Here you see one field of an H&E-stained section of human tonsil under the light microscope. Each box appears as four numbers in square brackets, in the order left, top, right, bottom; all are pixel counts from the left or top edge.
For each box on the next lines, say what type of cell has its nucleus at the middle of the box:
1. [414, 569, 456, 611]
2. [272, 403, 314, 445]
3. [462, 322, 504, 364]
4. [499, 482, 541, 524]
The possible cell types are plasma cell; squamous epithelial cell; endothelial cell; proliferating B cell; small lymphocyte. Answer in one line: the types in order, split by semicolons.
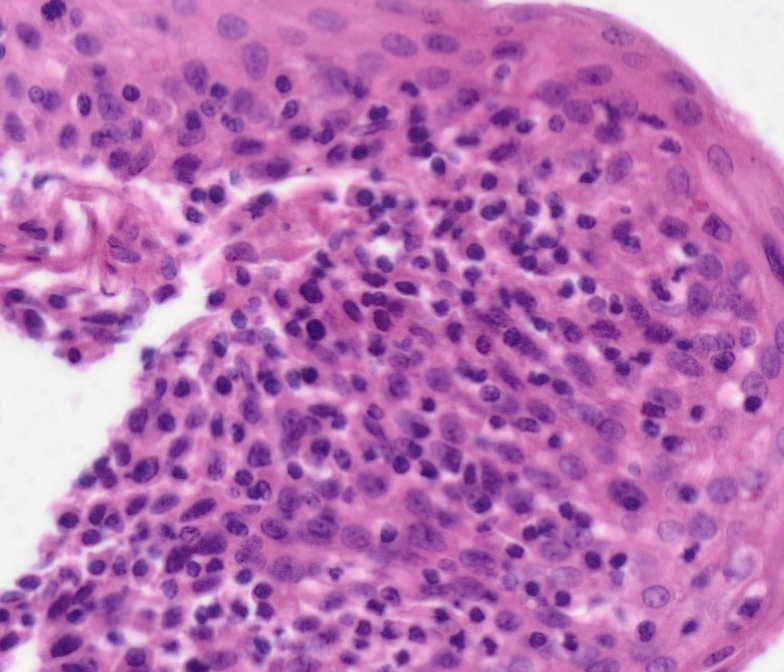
squamous epithelial cell; squamous epithelial cell; plasma cell; squamous epithelial cell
